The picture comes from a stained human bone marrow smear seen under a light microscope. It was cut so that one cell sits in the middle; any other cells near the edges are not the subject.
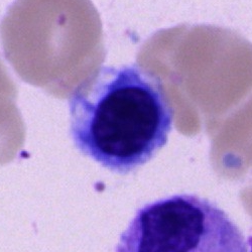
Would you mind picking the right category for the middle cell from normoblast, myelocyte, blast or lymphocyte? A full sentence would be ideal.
The cell at the centre of the field is a normoblast.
